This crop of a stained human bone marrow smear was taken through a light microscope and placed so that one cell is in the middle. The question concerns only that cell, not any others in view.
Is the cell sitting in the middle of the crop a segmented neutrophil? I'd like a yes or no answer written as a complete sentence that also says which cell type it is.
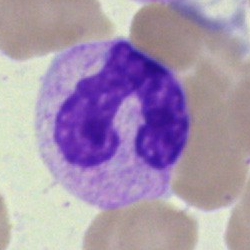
No, the cell located centrally is a band neutrophil rather than a segmented neutrophil.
